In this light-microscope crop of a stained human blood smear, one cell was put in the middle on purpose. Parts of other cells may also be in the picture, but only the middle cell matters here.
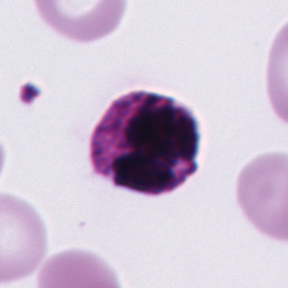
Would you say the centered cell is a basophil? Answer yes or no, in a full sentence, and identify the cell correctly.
Yes, the cell shown centrally is a basophil.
